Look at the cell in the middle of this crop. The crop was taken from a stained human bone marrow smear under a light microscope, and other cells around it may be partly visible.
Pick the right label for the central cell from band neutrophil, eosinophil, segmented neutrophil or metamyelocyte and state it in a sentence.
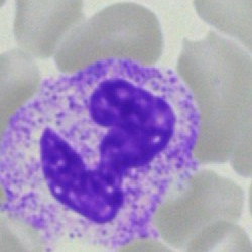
In the center of this field lies a segmented neutrophil.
